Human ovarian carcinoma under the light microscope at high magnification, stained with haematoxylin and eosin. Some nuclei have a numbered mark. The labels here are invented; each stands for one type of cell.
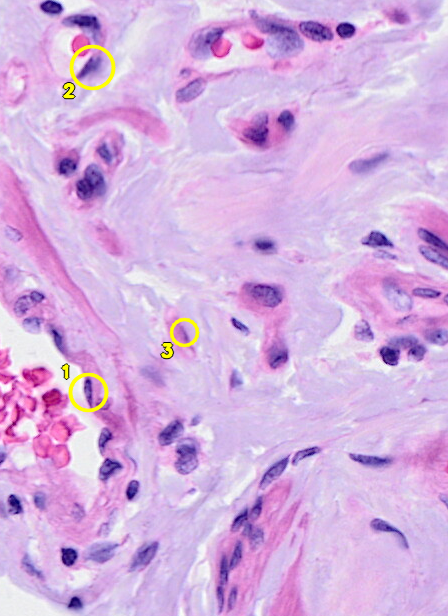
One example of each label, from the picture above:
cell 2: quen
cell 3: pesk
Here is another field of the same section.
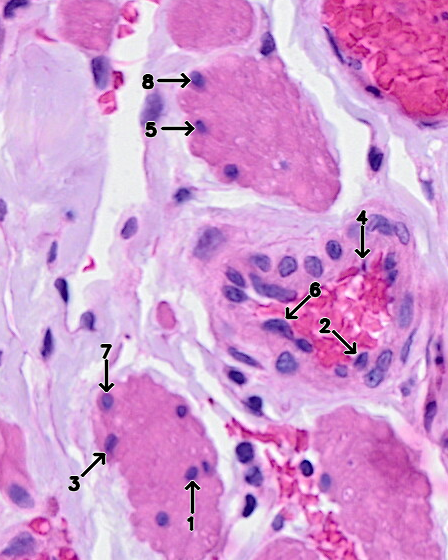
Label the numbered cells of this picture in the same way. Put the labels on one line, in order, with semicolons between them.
pesk; quen; pesk; quen; pesk; quen; pesk; pesk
